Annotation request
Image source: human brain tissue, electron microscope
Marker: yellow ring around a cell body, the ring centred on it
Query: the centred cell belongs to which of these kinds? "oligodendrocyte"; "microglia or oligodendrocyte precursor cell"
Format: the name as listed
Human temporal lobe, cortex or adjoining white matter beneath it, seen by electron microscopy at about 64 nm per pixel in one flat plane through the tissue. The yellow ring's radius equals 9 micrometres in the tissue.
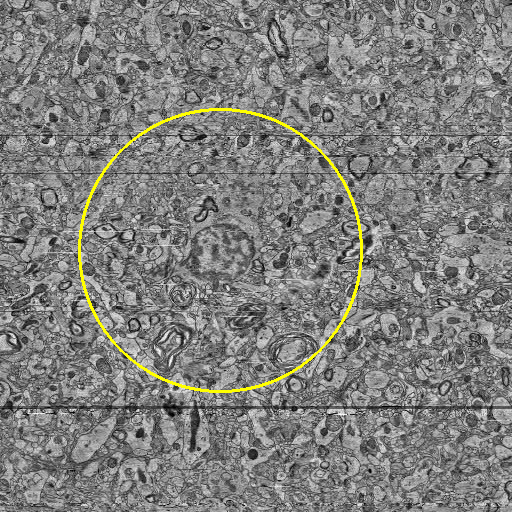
oligodendrocyte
